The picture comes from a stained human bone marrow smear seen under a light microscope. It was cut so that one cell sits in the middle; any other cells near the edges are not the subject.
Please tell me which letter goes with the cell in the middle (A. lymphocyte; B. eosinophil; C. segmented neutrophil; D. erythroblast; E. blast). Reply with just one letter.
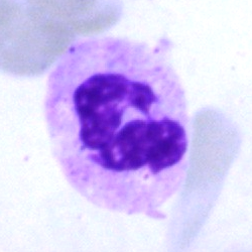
C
